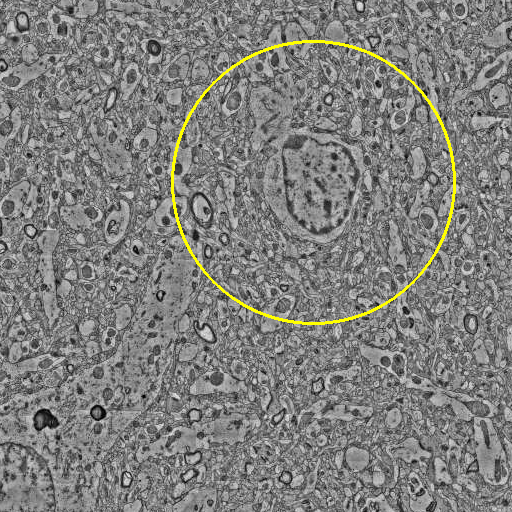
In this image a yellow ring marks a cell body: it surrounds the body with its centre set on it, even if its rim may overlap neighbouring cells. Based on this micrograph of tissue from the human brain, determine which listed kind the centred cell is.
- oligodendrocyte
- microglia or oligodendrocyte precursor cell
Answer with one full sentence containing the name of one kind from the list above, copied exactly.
It is a microglial cell or oligodendrocyte precursor cell whose body the yellow ring encloses at its centre.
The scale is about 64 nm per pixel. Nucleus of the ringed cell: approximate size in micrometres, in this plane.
Roughly 6 by 5 micrometres is the size of the nucleus in this plane.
